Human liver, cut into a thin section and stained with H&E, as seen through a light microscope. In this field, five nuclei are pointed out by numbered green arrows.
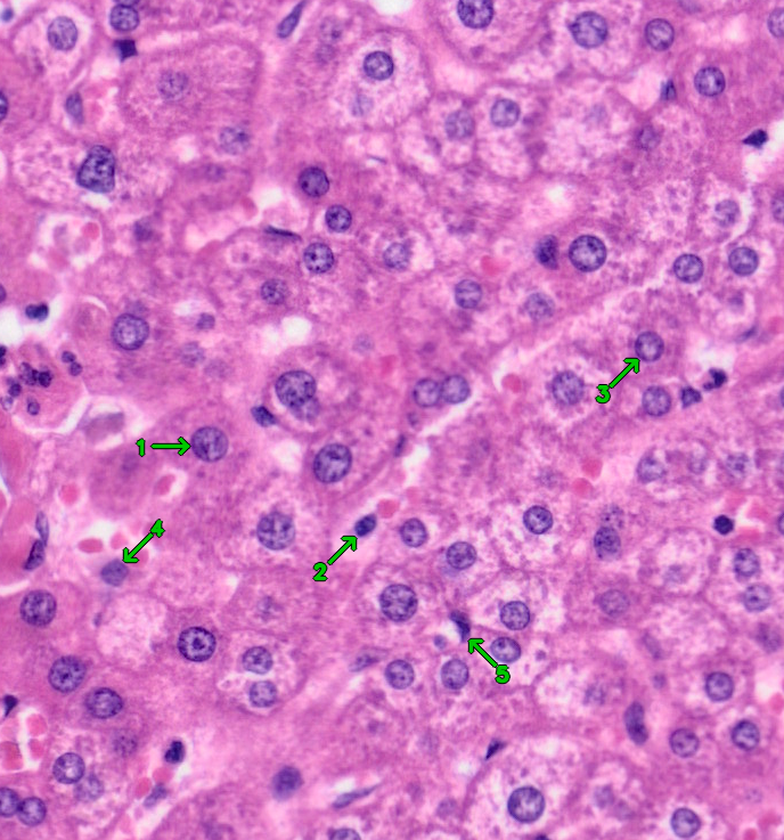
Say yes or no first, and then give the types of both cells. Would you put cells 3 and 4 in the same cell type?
No; whereas cell 3 is a hepatocyte, cell 4 is a Kupffer cell.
